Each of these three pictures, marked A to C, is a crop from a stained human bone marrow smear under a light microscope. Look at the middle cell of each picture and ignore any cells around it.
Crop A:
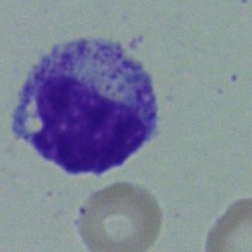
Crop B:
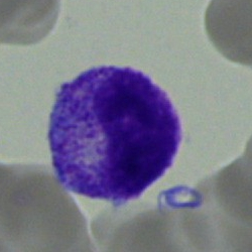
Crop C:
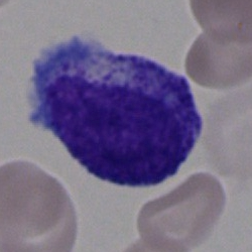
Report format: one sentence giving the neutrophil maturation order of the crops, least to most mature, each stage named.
Taken from least mature to most mature, the crops are crop C (a promyelocyte), crop A (a myelocyte) and crop B (a metamyelocyte).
